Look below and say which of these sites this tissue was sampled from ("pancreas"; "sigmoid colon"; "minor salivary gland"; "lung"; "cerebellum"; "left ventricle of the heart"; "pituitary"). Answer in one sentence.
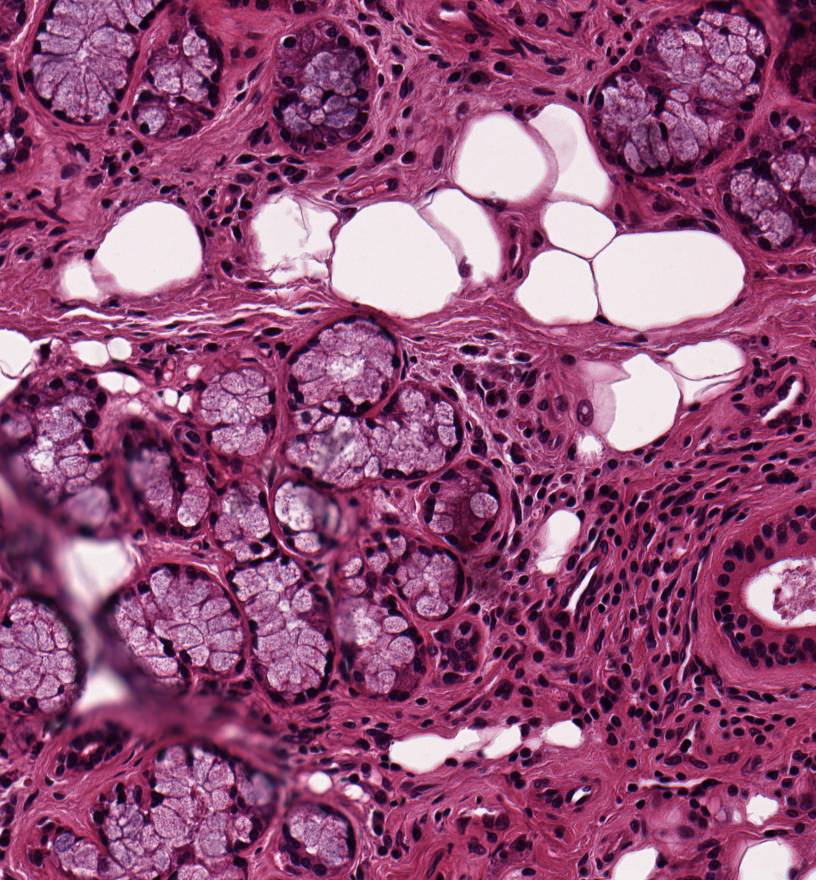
The site this tissue was sampled from is the minor salivary gland.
